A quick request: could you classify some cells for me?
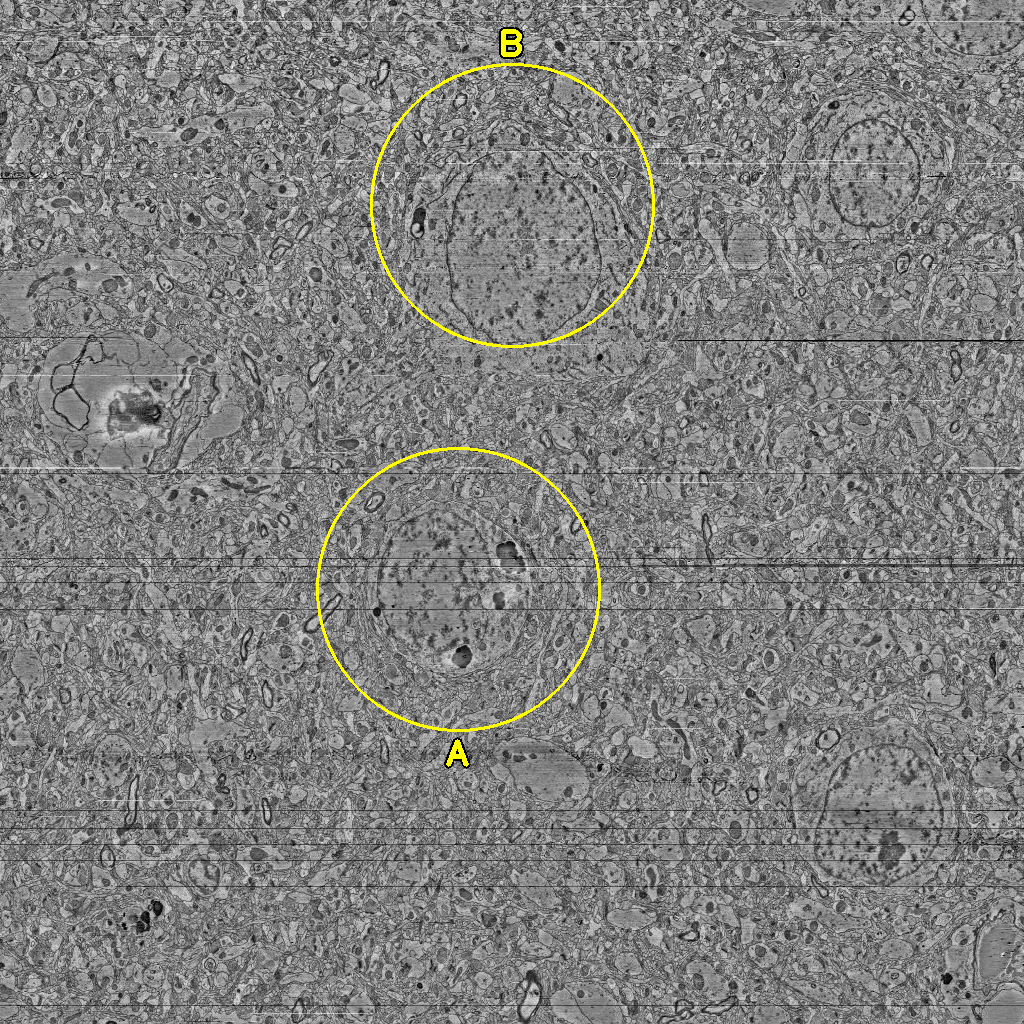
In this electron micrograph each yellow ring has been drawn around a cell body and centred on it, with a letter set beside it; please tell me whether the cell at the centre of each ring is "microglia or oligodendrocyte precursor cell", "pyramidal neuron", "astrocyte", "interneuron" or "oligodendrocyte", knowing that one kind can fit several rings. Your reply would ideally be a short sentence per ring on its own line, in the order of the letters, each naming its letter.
Ring A has an interneuron at its centre.
Ring B has a pyramidal neuron at its centre.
